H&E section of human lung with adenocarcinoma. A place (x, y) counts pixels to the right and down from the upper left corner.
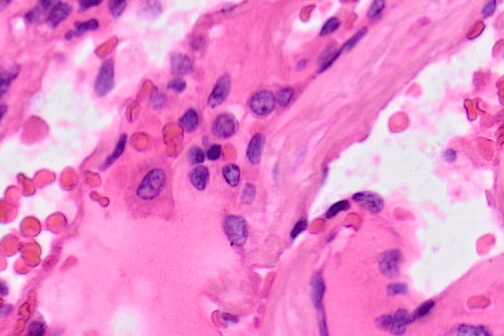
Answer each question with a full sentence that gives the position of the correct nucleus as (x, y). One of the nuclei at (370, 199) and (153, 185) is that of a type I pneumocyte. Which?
Of the two options, the nucleus at (370, 199) is the one that belongs to a type I pneumocyte.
